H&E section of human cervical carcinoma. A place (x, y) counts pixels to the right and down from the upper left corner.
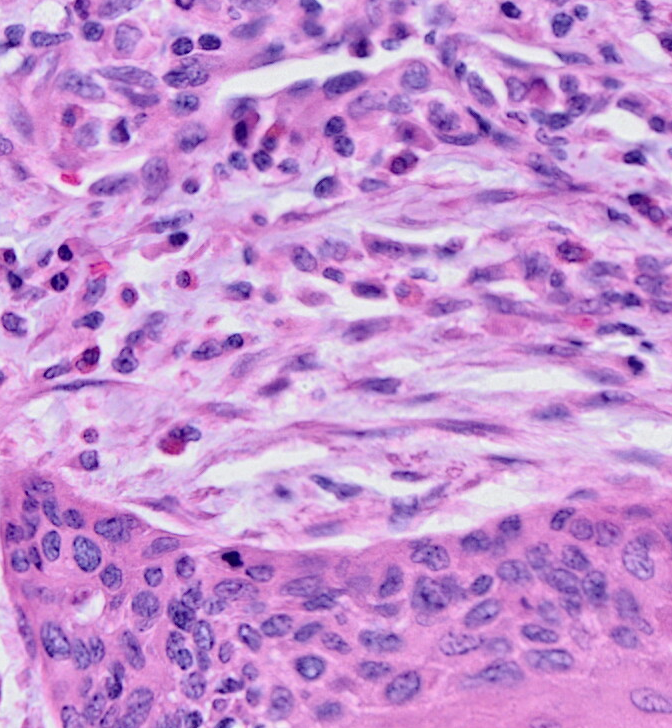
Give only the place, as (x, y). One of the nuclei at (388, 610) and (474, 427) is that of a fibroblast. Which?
(474, 427)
